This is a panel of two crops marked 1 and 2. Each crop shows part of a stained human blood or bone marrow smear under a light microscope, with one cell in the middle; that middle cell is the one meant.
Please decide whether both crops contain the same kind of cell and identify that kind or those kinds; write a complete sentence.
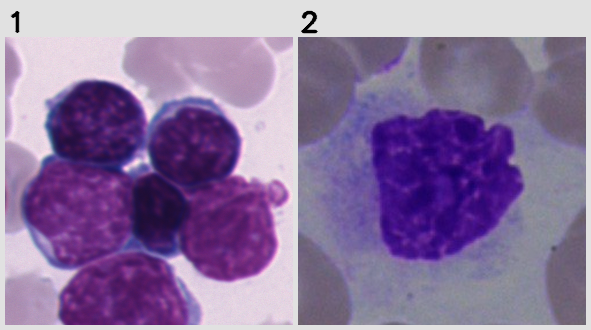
No, a blast is the cell in crop 1; a hairy cell is the cell in crop 2.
